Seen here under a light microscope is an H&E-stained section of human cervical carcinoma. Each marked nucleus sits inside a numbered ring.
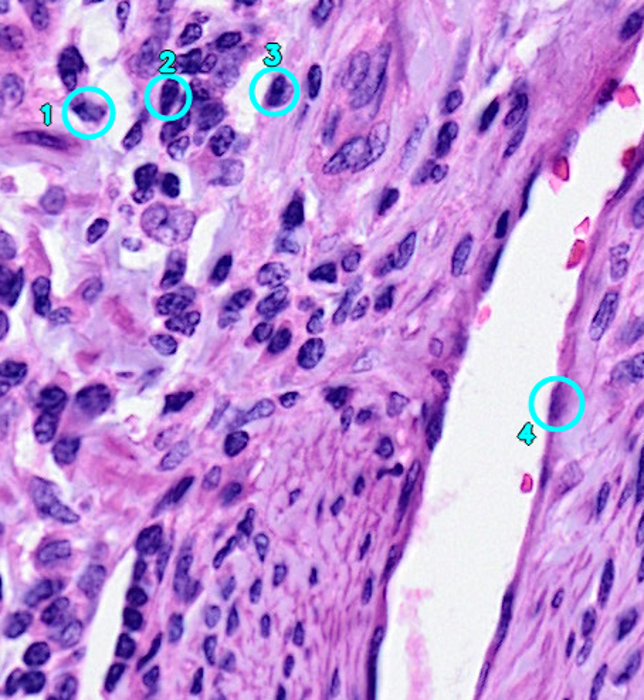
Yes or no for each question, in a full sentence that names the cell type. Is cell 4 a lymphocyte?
No, that is wrong: cell 4 is an endothelial cell, and not a lymphocyte.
